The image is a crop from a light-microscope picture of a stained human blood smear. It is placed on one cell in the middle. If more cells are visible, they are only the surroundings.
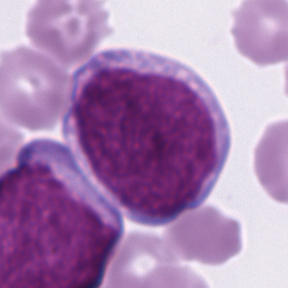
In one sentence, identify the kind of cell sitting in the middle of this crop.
At the crop's centre, the cell is a myeloblast.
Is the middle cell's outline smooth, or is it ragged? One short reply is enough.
The edge of the cell is unbroken and smooth, bearing no projections.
